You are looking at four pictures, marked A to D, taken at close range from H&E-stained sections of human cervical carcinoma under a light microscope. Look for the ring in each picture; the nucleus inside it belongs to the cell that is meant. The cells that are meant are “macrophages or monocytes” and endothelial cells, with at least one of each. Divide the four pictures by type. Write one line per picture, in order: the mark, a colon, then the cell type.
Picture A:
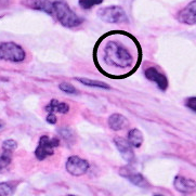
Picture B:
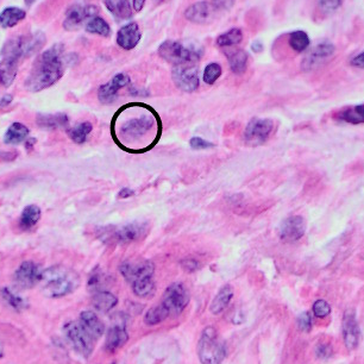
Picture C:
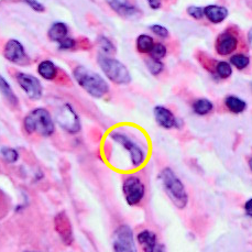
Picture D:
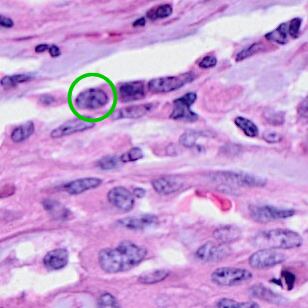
A: macrophage or monocyte
B: macrophage or monocyte
C: endothelial cell
D: macrophage or monocyte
